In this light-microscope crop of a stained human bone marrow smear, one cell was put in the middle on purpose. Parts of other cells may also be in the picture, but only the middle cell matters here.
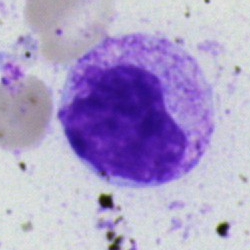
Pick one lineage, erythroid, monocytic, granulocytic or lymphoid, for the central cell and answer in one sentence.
On lineage, the cell in the middle of the crop is granulocytic.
